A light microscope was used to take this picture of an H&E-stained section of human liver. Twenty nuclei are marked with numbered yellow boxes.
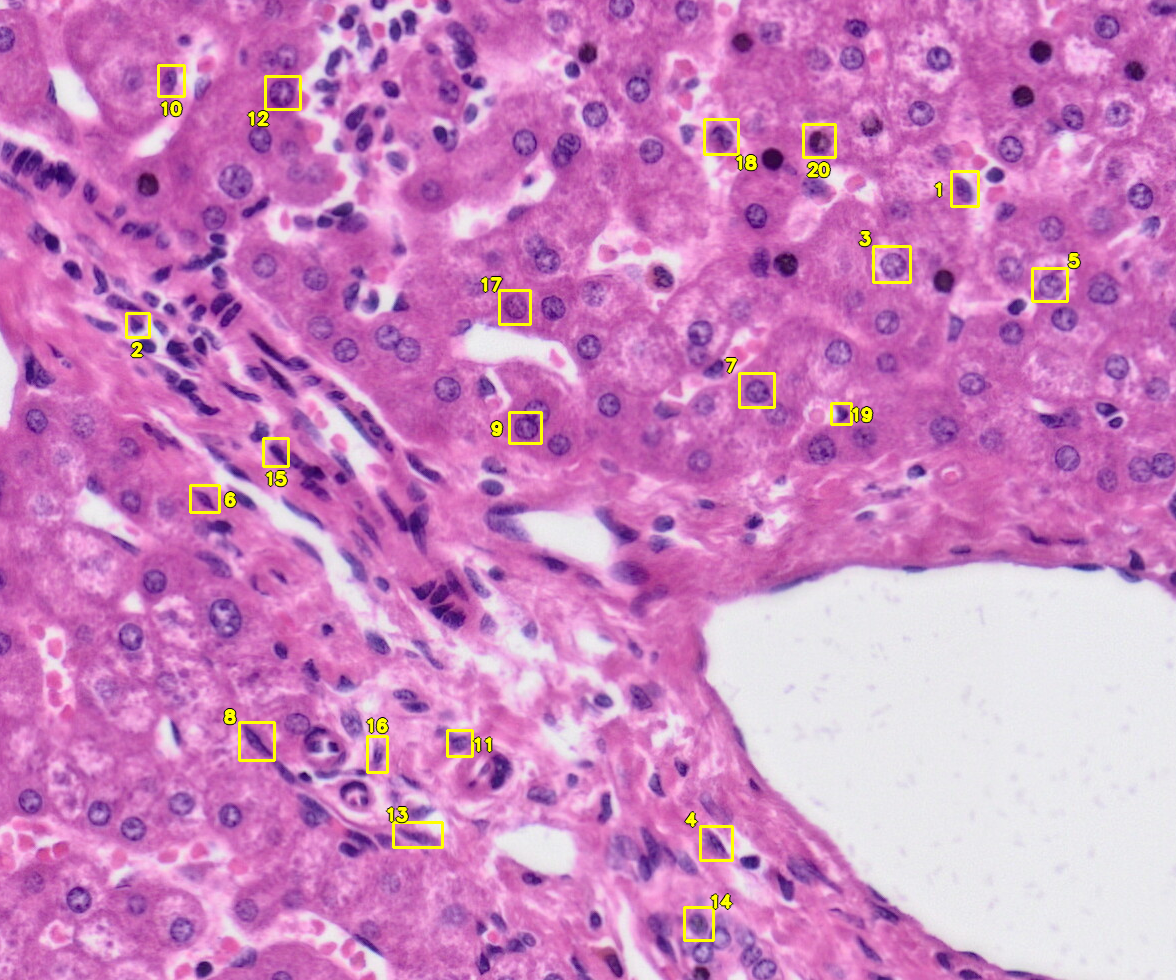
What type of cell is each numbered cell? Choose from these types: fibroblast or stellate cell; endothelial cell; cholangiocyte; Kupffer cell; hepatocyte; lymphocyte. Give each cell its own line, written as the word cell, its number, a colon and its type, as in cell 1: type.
cell 1: endothelial cell
cell 2: fibroblast or stellate cell
cell 3: hepatocyte
cell 4: fibroblast or stellate cell
cell 5: hepatocyte
cell 6: fibroblast or stellate cell
cell 7: hepatocyte
cell 8: fibroblast or stellate cell
cell 9: hepatocyte
cell 10: fibroblast or stellate cell
cell 11: fibroblast or stellate cell
cell 12: hepatocyte
cell 13: fibroblast or stellate cell
cell 14: cholangiocyte
cell 15: fibroblast or stellate cell
cell 16: fibroblast or stellate cell
cell 17: hepatocyte
cell 18: Kupffer cell
cell 19: fibroblast or stellate cell
cell 20: hepatocyte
